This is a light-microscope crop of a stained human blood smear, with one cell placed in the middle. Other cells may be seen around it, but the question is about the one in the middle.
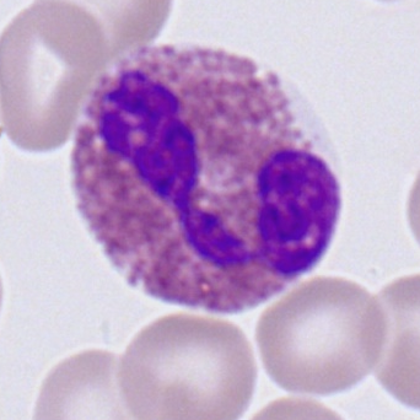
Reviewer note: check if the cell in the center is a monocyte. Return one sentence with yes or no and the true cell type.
No, the centred cell is an eosinophil instead of a monocyte.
